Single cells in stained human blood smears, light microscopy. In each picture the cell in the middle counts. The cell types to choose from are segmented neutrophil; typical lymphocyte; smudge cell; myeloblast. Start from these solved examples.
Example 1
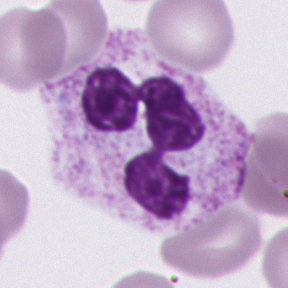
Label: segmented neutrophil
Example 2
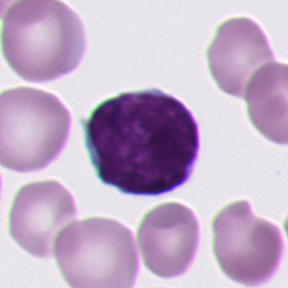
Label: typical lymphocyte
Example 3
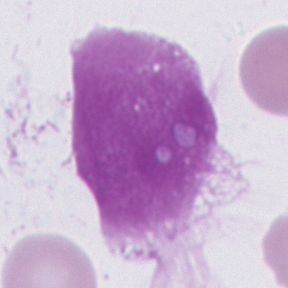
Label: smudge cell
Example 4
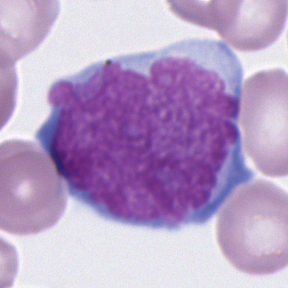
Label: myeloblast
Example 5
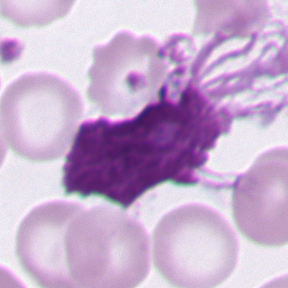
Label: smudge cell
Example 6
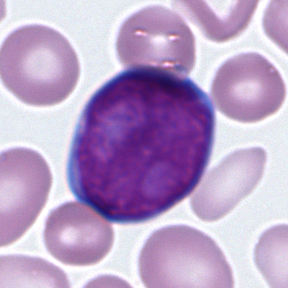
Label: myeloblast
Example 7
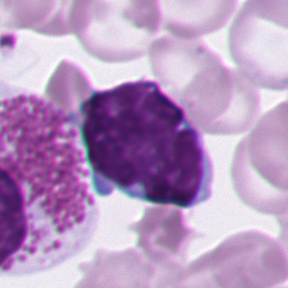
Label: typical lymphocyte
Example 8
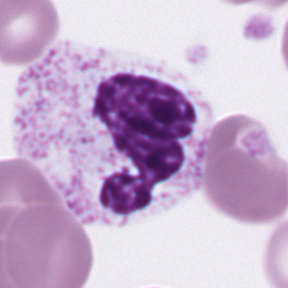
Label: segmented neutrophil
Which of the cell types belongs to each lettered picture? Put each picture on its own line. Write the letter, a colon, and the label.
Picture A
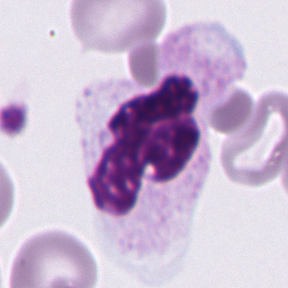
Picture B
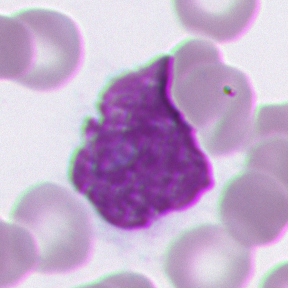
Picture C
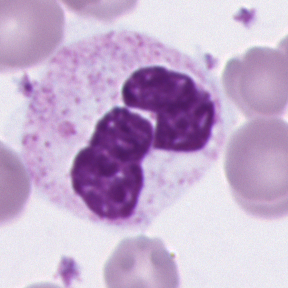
A: segmented neutrophil
B: smudge cell
C: segmented neutrophil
